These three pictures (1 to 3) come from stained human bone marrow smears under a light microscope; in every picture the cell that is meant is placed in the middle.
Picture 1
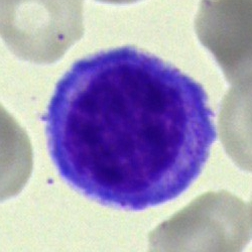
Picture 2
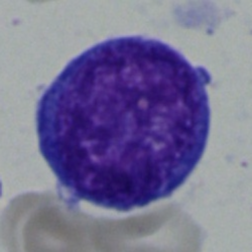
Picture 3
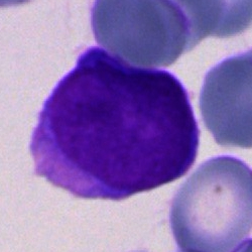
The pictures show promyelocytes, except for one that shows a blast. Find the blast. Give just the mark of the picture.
3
